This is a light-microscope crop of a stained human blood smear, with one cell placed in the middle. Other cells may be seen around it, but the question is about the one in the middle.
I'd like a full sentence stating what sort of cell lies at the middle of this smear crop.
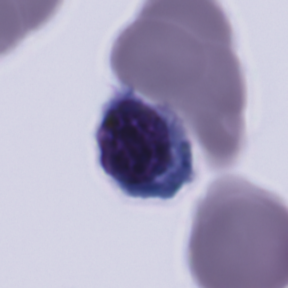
The middle of this crop holds a plasma cell.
